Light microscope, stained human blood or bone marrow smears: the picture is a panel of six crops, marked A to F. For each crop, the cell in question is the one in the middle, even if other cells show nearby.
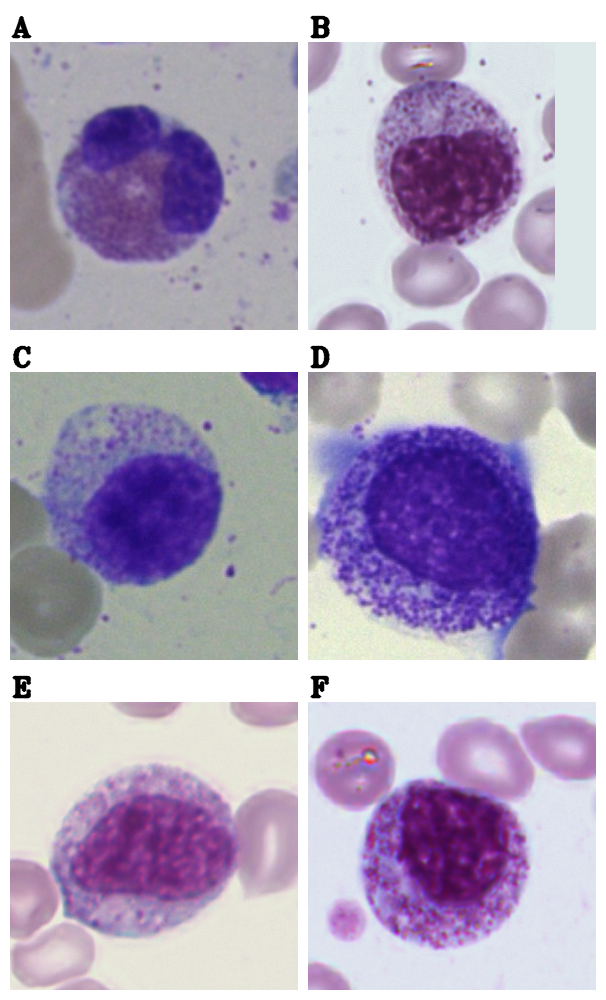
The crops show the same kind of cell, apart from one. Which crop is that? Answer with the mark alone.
A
